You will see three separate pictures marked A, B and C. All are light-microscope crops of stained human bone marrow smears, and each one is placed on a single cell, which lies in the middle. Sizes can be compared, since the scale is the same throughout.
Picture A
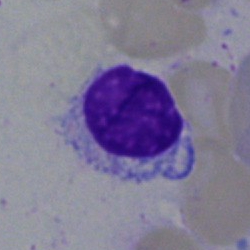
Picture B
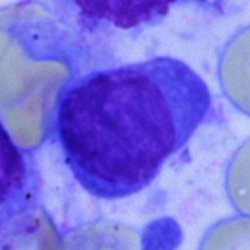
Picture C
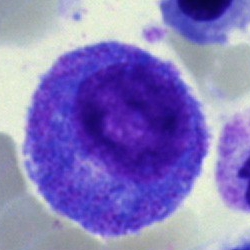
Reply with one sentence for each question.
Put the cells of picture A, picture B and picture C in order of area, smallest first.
Smallest first: A, B, C.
